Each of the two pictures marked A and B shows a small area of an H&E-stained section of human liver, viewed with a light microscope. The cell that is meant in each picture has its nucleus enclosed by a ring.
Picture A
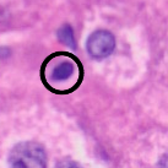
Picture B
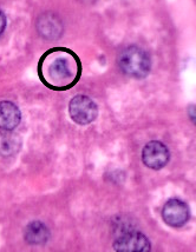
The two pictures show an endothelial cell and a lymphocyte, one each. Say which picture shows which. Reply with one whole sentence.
Picture A shows a lymphocyte and picture B shows an endothelial cell.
